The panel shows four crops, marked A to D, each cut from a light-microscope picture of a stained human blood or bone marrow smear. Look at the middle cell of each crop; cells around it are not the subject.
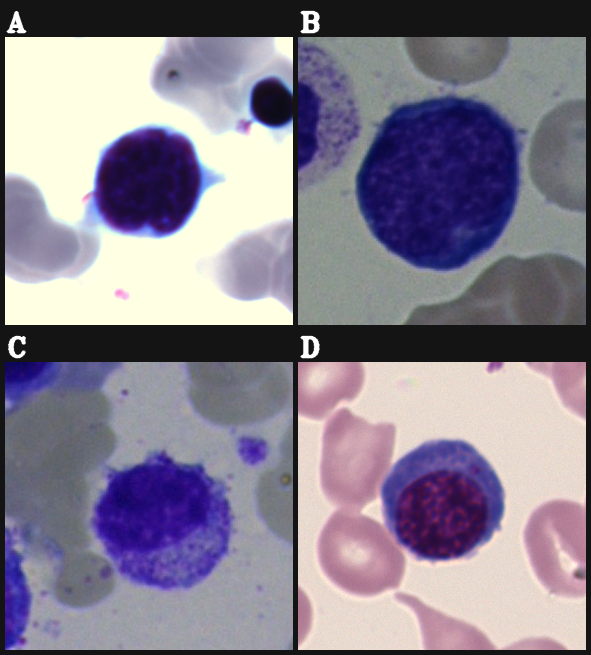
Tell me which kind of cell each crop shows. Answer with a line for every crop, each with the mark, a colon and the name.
A: normoblast
B: blast
C: myelocyte
D: normoblast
